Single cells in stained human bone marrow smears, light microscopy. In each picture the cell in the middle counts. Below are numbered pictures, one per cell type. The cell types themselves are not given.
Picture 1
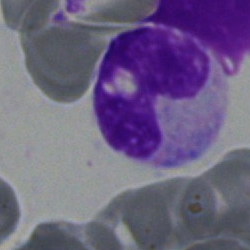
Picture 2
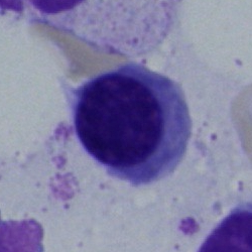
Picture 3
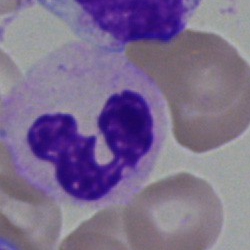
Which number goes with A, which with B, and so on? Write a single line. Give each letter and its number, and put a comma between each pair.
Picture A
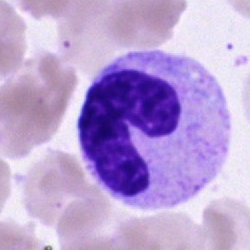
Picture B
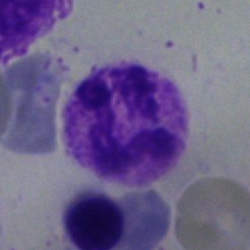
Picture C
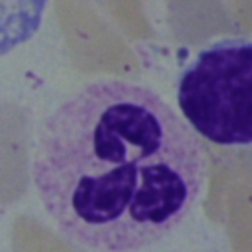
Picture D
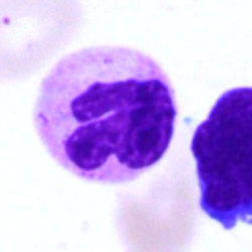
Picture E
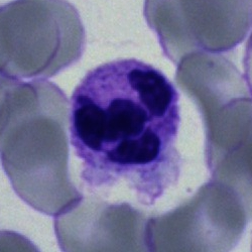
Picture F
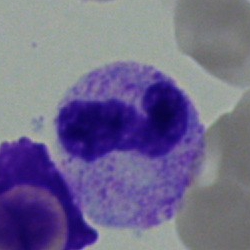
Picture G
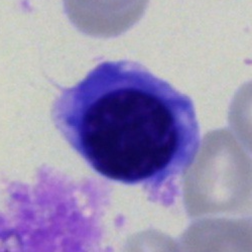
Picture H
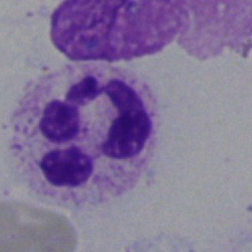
A 1, B 3, C 3, D 3, E 3, F 1, G 2, H 3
